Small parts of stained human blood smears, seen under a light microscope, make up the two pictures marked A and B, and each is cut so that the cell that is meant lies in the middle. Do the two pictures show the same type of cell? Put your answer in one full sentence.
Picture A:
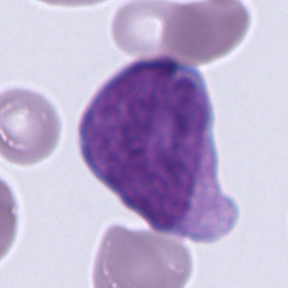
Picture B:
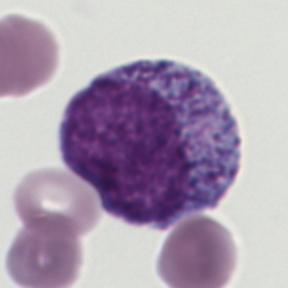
No, the types are not the same, since picture A shows an atypical promyelocyte and picture B a myelocyte.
